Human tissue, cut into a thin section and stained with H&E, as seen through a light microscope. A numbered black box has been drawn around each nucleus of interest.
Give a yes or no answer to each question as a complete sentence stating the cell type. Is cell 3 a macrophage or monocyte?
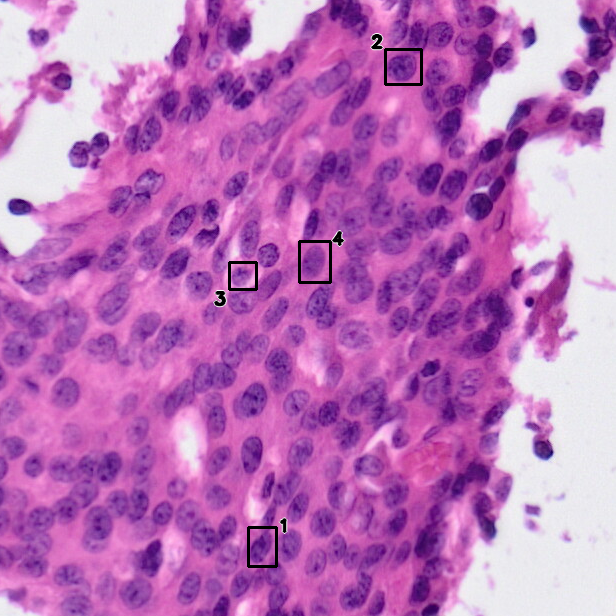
Yes, the cell with the mark numbered 3 is a macrophage or monocyte.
